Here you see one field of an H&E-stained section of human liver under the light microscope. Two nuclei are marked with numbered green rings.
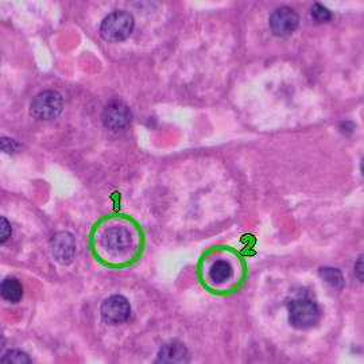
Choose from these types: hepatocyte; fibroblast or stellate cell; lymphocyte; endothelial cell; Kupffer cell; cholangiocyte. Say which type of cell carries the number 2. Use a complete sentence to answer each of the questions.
The cell pointed out by number 2 is a lymphocyte.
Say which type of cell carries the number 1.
The cell marked with the number 1 is a hepatocyte.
